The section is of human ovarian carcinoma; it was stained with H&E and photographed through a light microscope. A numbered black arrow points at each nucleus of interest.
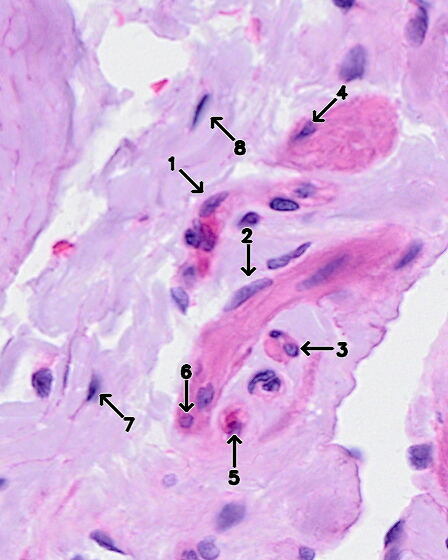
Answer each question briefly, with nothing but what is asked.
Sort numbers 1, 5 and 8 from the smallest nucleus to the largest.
5, 8, 1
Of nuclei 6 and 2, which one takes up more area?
2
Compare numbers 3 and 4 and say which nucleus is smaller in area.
3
